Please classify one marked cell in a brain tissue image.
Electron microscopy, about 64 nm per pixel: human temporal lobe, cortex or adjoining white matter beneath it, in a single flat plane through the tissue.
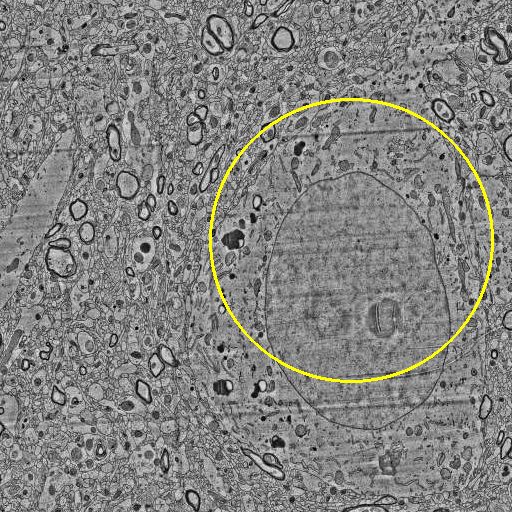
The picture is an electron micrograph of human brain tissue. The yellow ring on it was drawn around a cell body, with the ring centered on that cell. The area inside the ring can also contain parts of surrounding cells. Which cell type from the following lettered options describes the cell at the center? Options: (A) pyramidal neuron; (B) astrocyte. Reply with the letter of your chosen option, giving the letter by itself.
A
